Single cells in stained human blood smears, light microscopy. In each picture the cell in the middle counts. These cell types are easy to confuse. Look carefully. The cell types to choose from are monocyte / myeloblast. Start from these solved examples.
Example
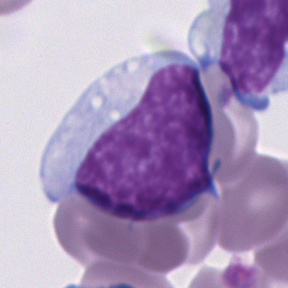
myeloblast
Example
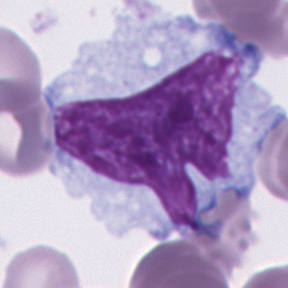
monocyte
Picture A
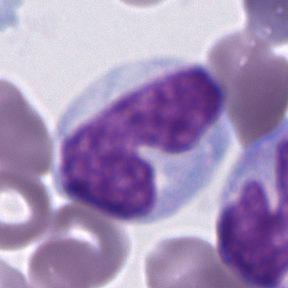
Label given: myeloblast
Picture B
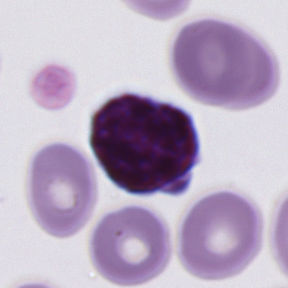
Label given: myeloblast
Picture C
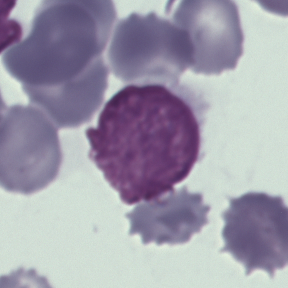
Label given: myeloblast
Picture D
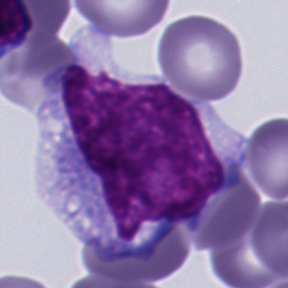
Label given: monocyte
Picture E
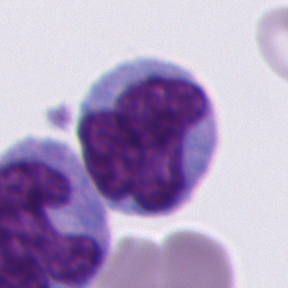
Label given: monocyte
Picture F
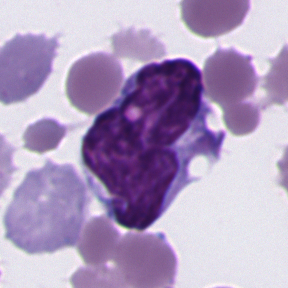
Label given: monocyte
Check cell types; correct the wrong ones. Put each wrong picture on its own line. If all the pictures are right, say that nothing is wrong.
A: monocyte, not myeloblast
